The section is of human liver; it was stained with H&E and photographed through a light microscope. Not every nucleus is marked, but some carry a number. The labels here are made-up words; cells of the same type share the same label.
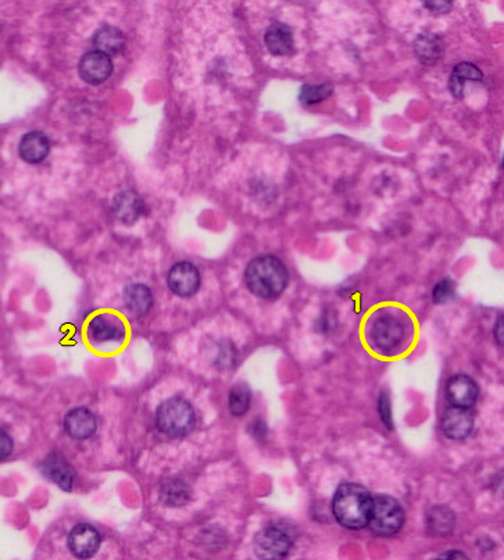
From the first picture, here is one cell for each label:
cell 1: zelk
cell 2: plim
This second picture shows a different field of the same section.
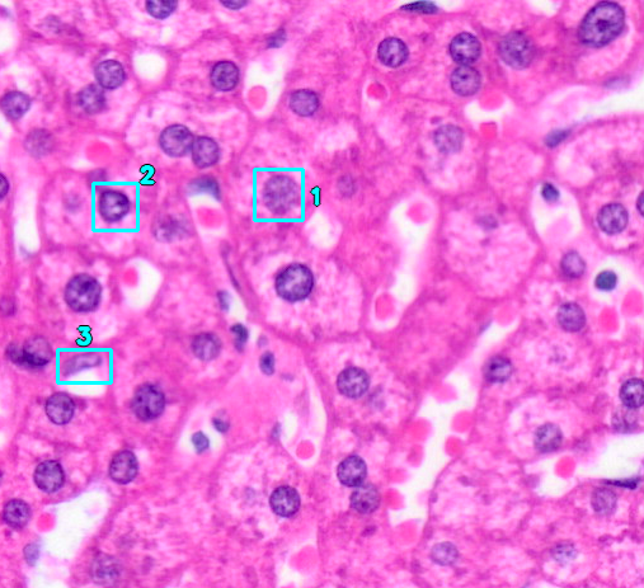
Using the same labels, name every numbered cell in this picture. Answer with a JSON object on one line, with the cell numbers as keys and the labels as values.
{"1": "zelk", "2": "zelk", "3": "plim"}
